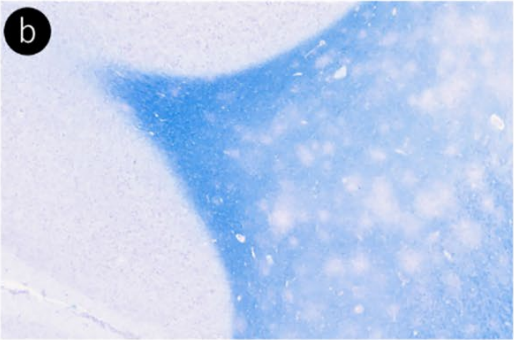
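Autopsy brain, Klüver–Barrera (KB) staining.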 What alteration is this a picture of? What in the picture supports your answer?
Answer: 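Multiple punctate lesions of varying sizes. Many small round pale spots lie scattered within the blue-stained white matter. The pale spots differ in size.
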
